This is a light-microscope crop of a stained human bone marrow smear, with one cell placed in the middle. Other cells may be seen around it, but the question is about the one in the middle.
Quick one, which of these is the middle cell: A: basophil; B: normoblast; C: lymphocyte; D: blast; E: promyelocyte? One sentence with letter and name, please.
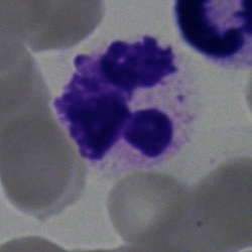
In this crop the middle cell is a basophil, so option A is the correct answer.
